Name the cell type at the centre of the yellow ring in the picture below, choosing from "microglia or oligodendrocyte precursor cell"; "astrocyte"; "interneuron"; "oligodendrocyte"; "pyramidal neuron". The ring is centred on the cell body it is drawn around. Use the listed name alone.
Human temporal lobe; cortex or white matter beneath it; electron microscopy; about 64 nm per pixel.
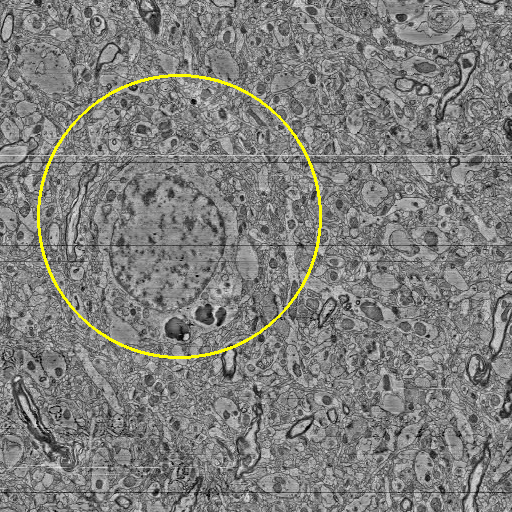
interneuron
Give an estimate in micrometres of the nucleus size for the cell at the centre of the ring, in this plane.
In this plane, approximately 9 by 8 micrometers.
